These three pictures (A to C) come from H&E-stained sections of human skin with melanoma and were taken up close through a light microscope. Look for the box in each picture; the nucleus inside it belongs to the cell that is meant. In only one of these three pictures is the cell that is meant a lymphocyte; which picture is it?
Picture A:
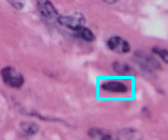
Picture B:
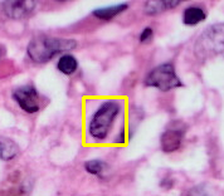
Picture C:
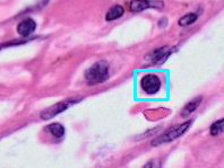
C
